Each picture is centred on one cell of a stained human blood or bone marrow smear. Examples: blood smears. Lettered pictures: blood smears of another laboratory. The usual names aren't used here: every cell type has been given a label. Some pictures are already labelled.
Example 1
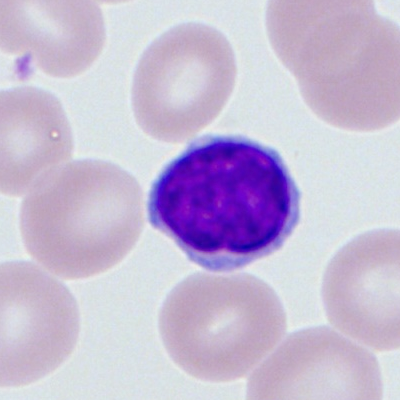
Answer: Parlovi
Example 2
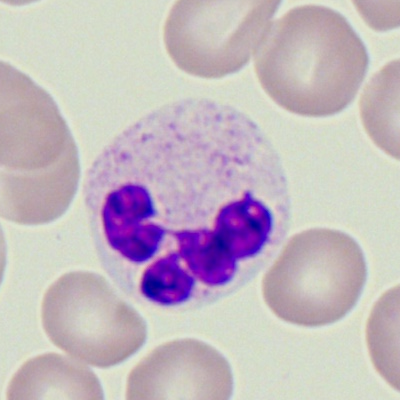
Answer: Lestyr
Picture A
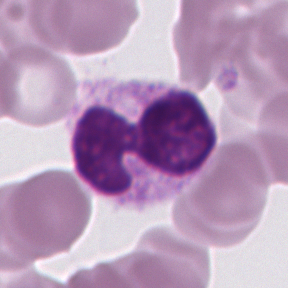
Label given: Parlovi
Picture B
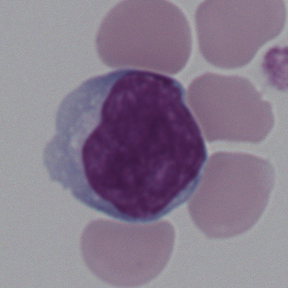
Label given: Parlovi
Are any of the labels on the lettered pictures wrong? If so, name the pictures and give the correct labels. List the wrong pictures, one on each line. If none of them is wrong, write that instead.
A should be Lestyr, not Parlovi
